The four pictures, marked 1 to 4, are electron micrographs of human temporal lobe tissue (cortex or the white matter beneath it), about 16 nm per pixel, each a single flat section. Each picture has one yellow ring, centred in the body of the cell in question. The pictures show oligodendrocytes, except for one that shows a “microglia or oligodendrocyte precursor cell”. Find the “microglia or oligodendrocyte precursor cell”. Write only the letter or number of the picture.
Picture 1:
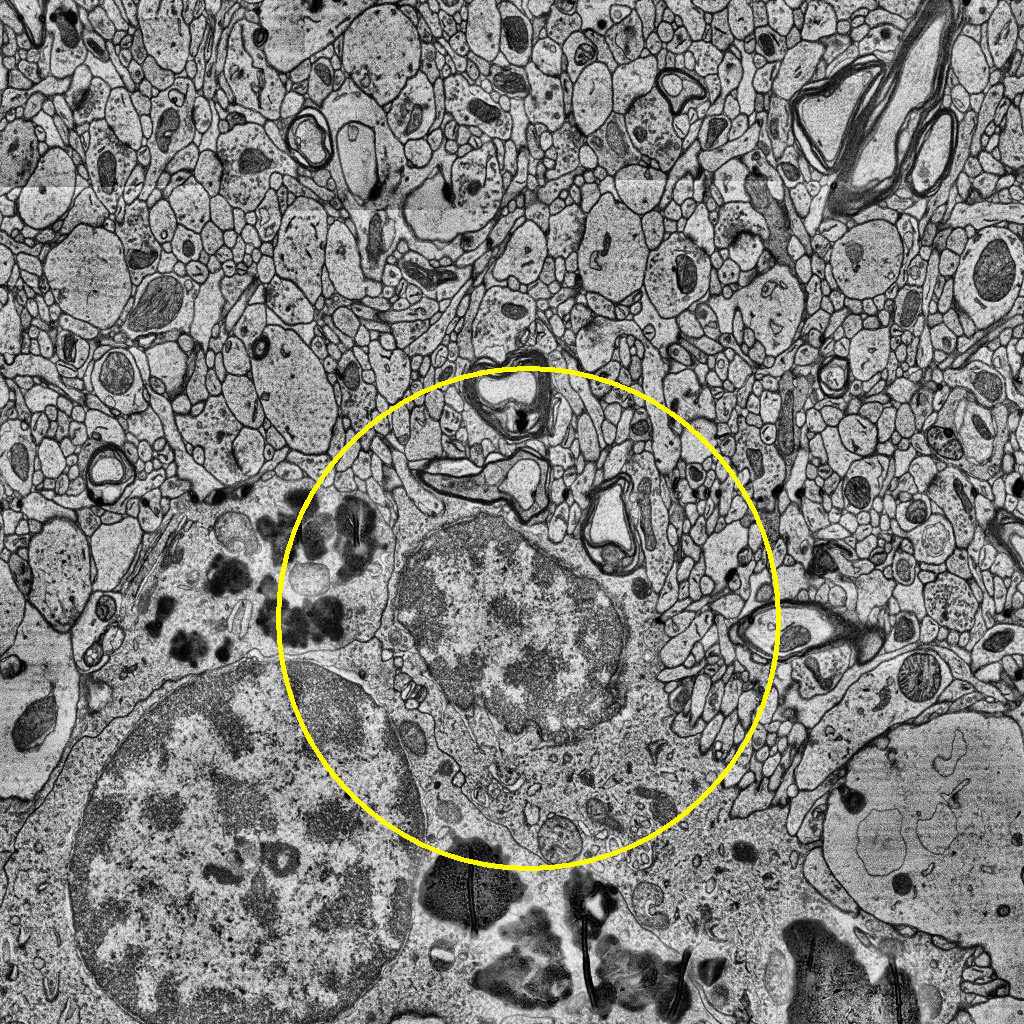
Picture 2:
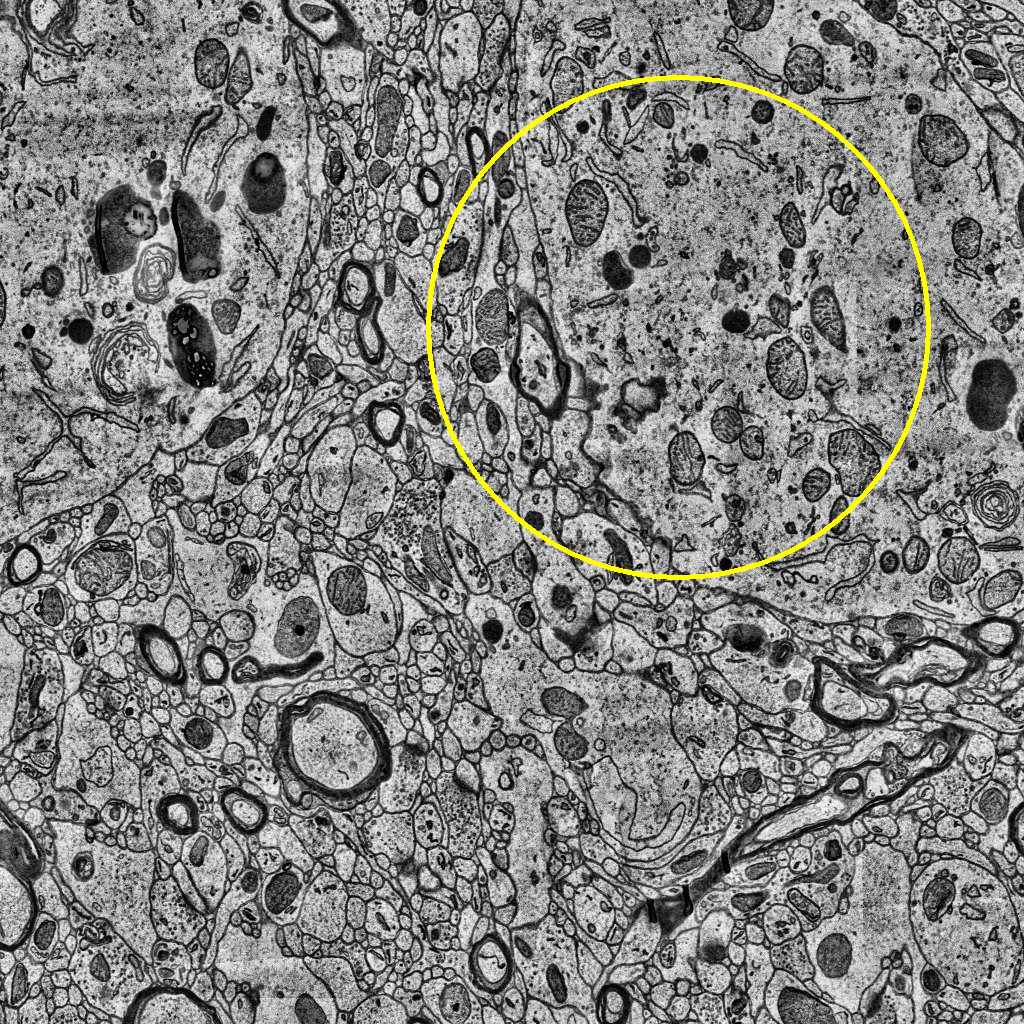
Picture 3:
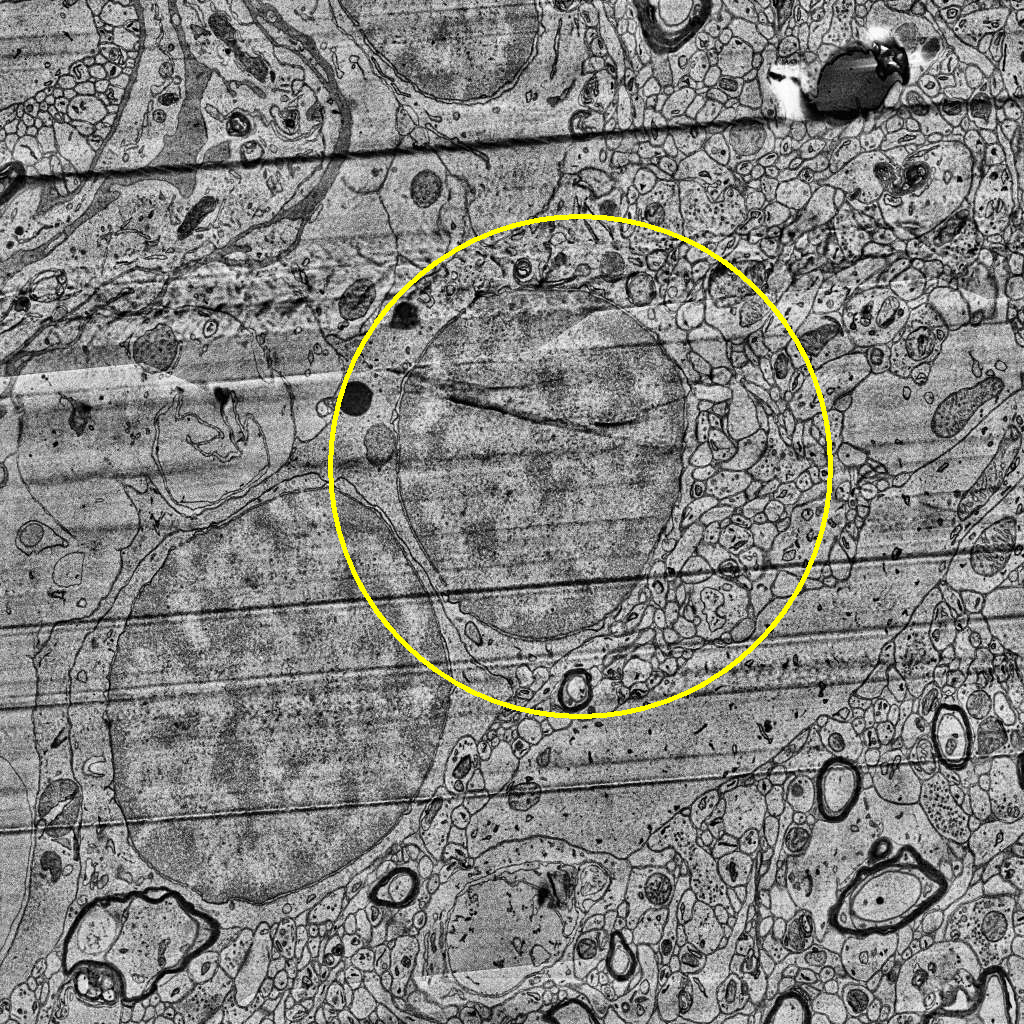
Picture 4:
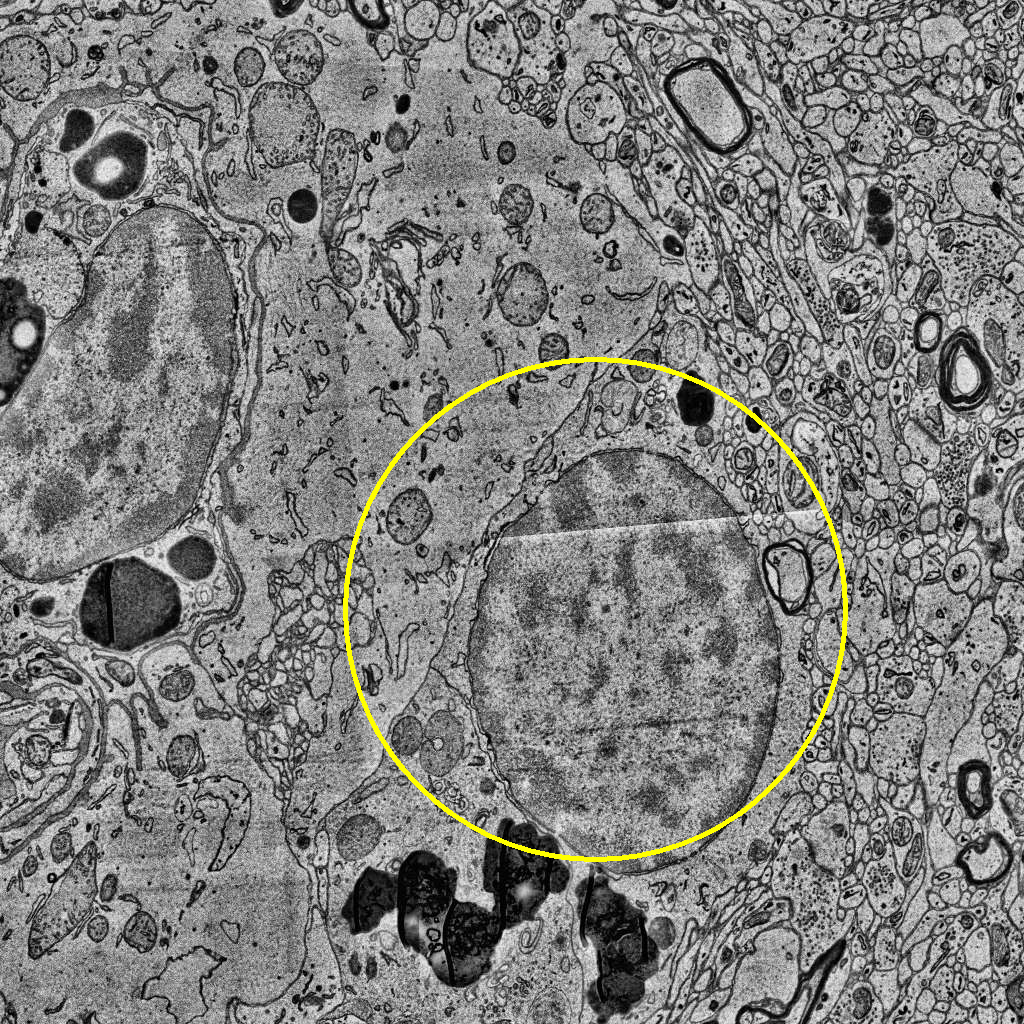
2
